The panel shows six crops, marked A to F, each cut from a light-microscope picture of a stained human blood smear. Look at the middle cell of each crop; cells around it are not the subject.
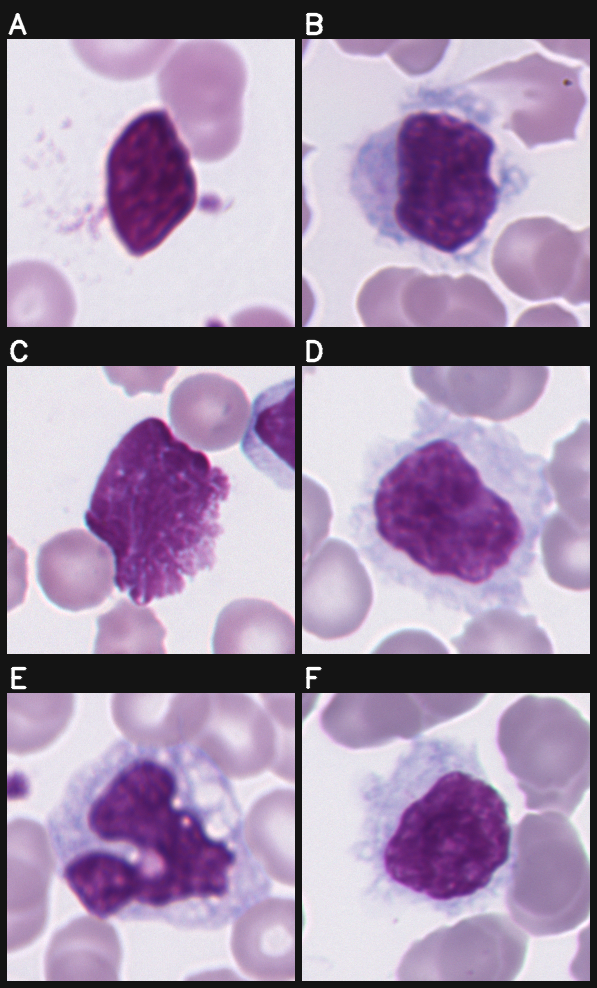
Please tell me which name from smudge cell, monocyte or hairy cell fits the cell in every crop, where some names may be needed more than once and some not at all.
A: smudge cell
B: hairy cell
C: smudge cell
D: hairy cell
E: monocyte
F: hairy cell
